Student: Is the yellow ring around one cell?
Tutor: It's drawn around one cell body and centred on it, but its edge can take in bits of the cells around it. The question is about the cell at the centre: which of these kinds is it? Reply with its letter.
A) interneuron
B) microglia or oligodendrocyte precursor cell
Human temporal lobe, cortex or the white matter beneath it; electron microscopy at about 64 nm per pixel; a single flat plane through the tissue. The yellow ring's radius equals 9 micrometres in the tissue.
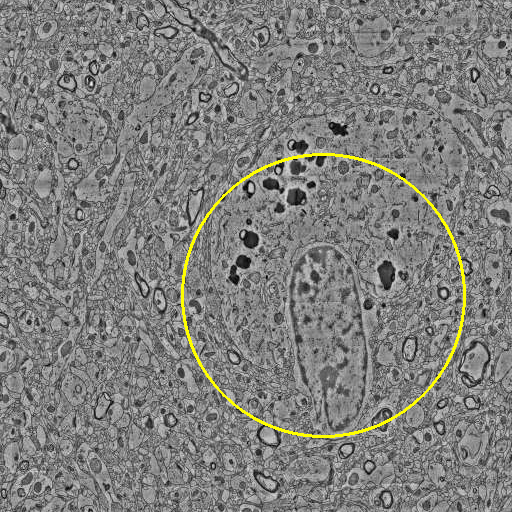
B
